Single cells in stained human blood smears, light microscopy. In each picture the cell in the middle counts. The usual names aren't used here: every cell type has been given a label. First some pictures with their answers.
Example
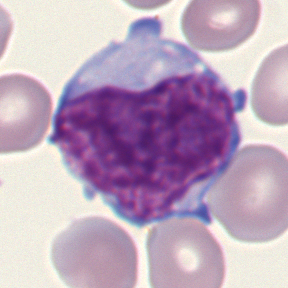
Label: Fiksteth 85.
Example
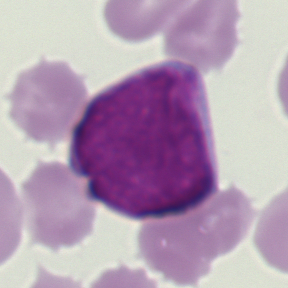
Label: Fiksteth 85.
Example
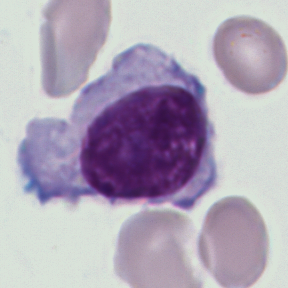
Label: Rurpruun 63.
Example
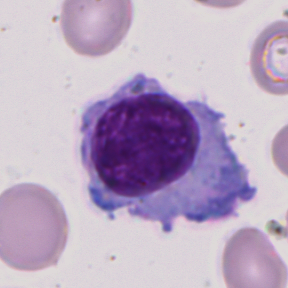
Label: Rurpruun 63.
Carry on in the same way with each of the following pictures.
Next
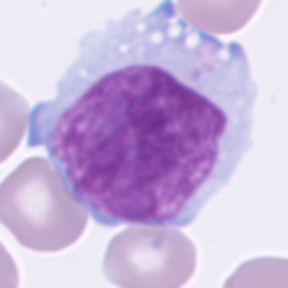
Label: Fiksteth 85.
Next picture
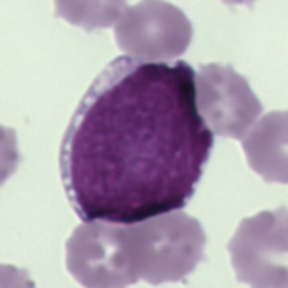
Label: Fiksteth 85.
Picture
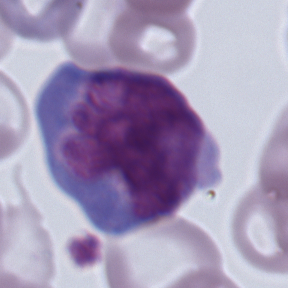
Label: Fiksteth 85.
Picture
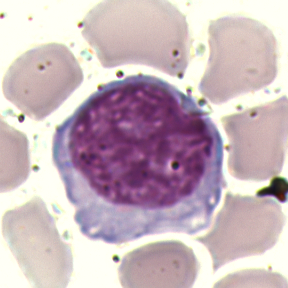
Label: Rurpruun 63.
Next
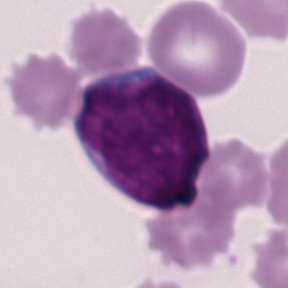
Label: Fiksteth 85.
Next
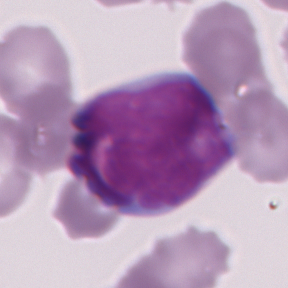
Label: Fiksteth 85.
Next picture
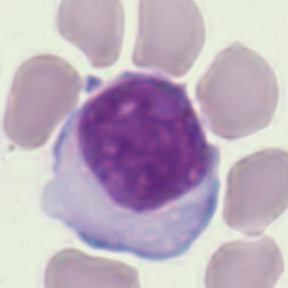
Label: Rurpruun 63.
